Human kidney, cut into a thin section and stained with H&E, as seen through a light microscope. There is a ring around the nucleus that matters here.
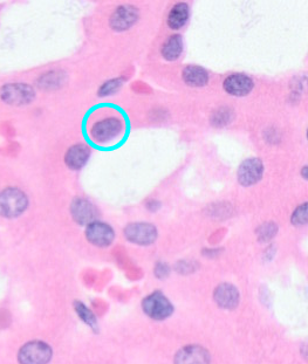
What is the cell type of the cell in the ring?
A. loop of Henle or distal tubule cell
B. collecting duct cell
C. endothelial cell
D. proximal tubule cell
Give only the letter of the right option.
A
